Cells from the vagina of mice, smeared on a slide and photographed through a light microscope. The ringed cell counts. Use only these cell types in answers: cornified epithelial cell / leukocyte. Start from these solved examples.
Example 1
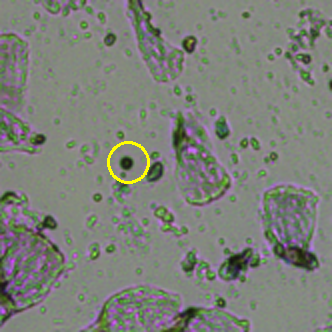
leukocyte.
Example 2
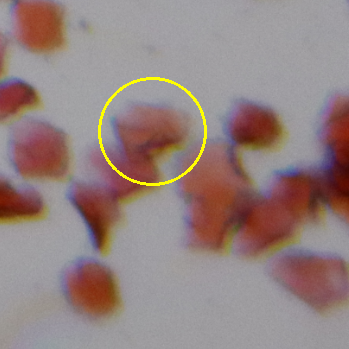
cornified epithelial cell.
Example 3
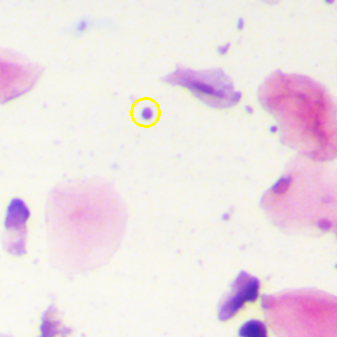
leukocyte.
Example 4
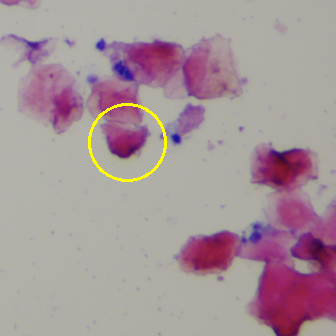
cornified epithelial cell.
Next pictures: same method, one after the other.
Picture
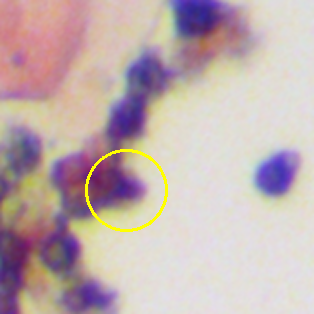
leukocyte.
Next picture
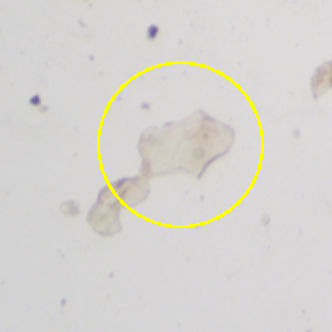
cornified epithelial cell.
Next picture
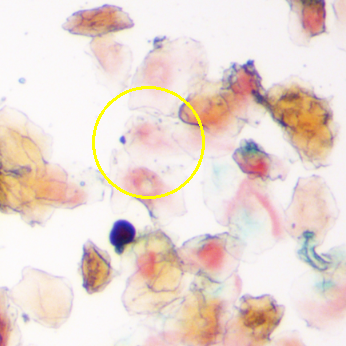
cornified epithelial cell.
